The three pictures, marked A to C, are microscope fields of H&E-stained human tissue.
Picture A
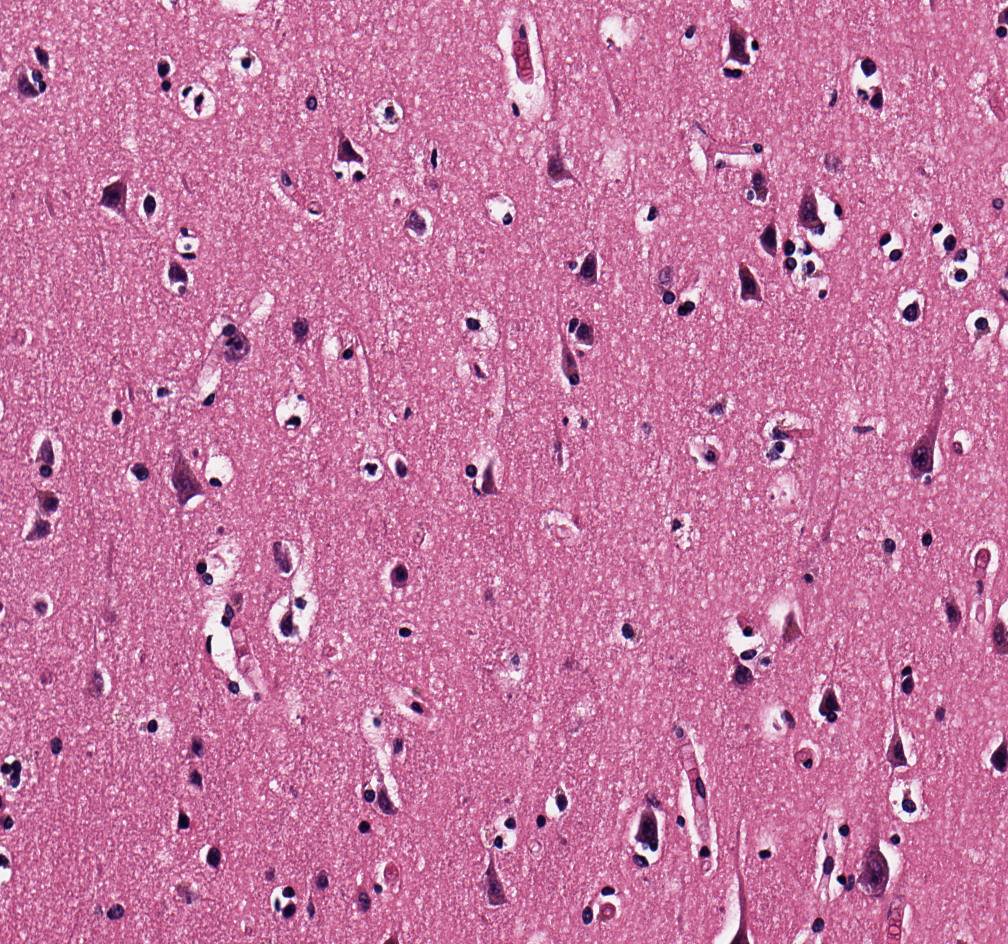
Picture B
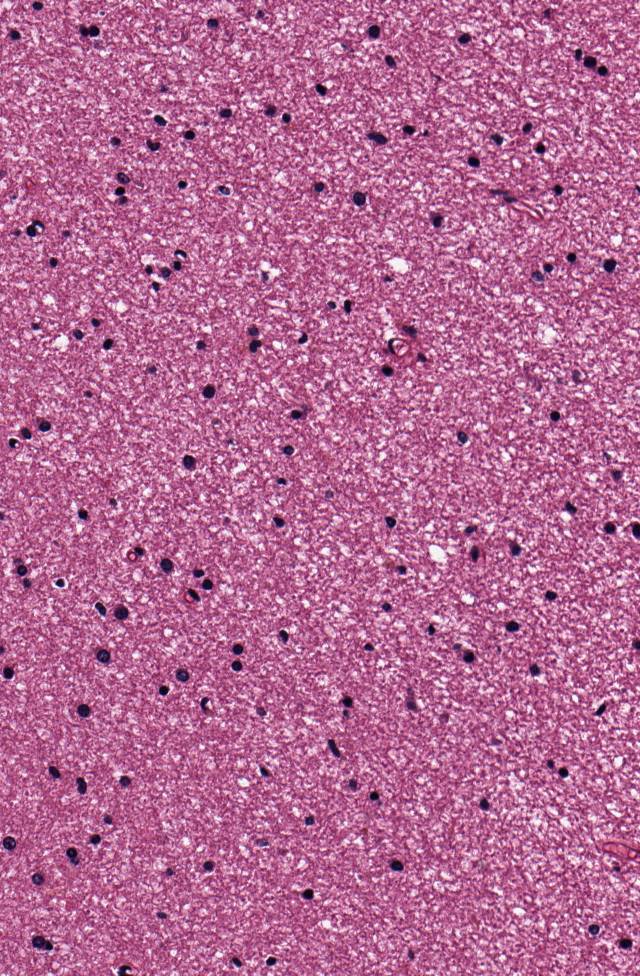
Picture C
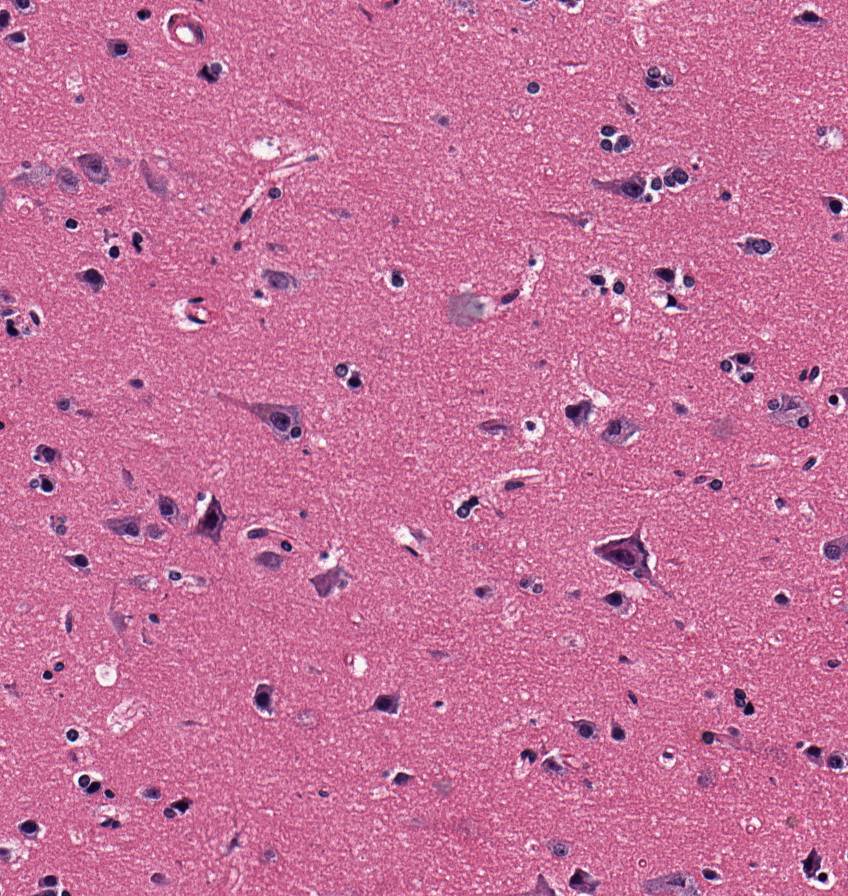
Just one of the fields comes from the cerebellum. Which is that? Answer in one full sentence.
Picture B is the field that comes from the cerebellum.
